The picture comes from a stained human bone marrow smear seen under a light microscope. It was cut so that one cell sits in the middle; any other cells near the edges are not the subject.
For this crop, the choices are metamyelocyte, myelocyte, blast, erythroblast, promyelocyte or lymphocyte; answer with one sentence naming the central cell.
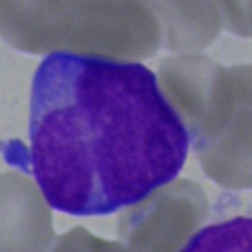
The crop shows a blast in its centre.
